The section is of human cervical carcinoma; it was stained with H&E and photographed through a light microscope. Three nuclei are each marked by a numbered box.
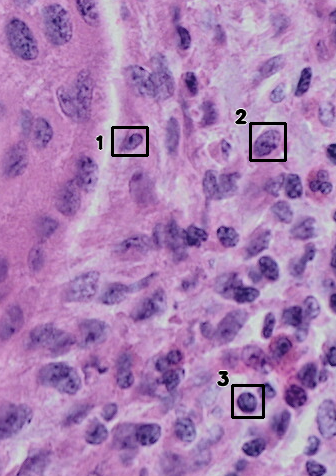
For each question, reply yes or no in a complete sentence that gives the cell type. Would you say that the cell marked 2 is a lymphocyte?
No, cell 2 is not a lymphocyte, but is instead a macrophage or monocyte.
